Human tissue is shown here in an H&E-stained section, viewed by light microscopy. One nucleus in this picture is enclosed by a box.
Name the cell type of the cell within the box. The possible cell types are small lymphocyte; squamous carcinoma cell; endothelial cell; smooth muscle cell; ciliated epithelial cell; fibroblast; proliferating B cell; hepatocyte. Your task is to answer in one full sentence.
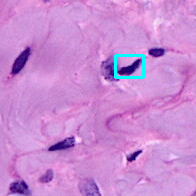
In this preparation, the cell within the box is a fibroblast.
